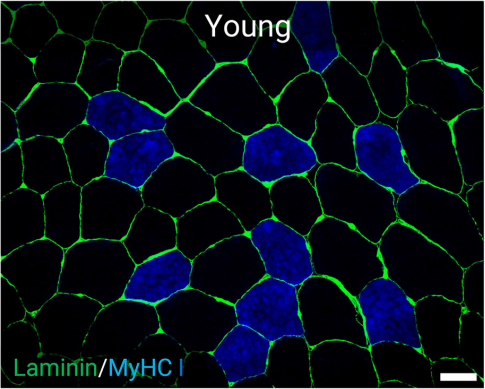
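Most fibres are dark and unfilled, while a smaller number are filled with blue and lie scattered among them, mostly surrounded by dark fibres rather than by each other. The fibres are closely packed with little space between them, giving a mosaic pattern of the two fibre types.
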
